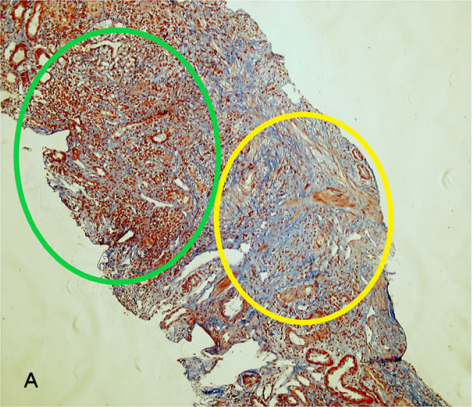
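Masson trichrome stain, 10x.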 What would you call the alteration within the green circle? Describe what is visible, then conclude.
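Densely packed small nuclei fill the space between tubules inside the circle. Few intact tubules remain within the circled area. So: Acute diffuse tubulointerstitial infiltrate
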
